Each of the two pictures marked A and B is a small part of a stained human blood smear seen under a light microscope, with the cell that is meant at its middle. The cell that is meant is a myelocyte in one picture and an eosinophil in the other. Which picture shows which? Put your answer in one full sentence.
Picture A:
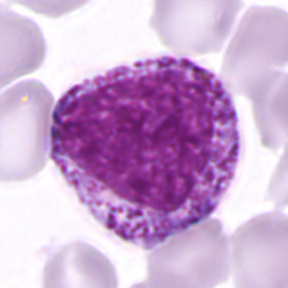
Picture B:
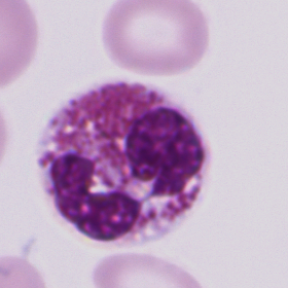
Picture A shows a myelocyte and picture B shows an eosinophil.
